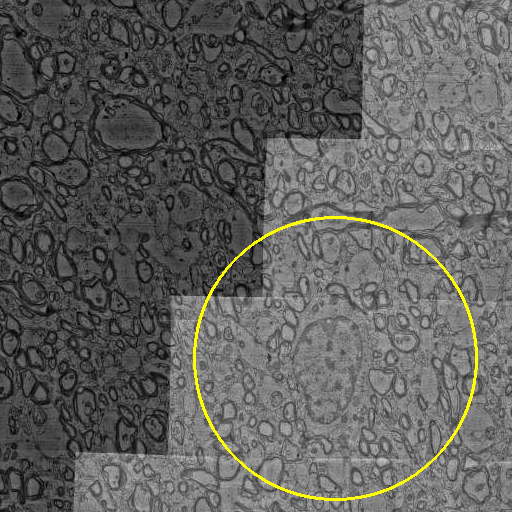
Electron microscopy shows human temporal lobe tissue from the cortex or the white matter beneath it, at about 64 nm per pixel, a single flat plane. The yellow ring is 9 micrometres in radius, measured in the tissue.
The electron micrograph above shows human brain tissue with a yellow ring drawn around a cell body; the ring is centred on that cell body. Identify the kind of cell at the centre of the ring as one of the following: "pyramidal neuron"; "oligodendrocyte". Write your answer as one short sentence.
The cell at the centre of the ring is an oligodendrocyte.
